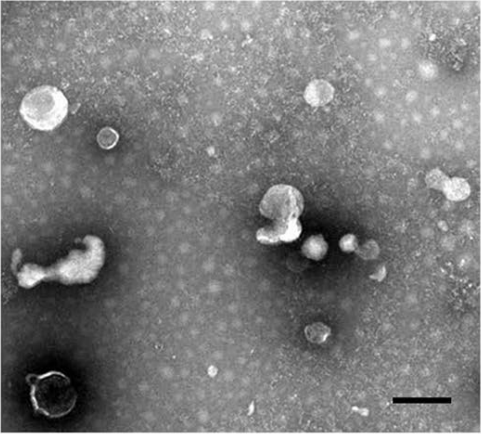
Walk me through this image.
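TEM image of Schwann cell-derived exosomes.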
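Several vesicles look cup-shaped or partly collapsed. They vary in size, and a few irregular clumps lie among them.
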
